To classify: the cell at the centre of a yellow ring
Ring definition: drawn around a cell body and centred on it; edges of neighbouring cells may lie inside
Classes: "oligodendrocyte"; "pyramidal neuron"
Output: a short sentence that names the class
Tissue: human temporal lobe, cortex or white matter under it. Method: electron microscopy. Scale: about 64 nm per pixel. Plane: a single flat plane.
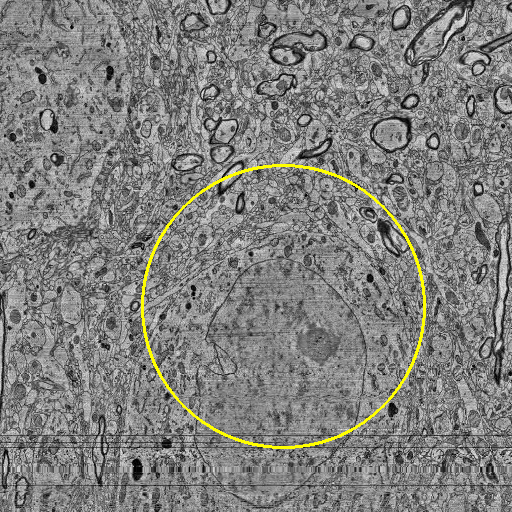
The ringed cell is a pyramidal neuron.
